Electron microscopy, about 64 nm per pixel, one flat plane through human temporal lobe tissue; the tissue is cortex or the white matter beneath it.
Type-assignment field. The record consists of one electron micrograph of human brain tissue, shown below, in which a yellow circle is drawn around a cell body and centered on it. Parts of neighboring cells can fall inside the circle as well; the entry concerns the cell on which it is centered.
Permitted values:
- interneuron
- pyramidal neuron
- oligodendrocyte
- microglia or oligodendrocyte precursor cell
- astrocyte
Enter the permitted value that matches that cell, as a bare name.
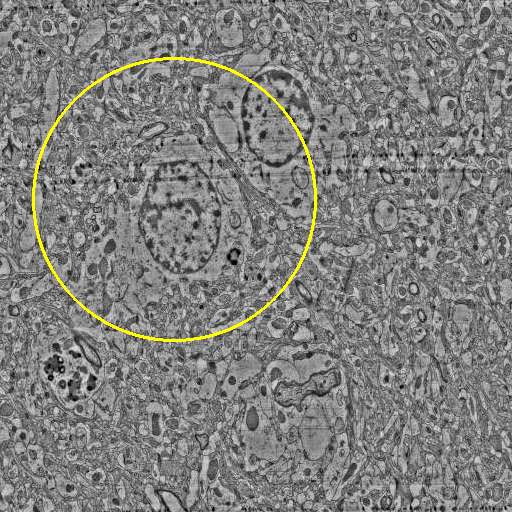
astrocyte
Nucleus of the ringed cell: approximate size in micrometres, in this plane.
In this plane the nucleus measures roughly 7 by 5 micrometers.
